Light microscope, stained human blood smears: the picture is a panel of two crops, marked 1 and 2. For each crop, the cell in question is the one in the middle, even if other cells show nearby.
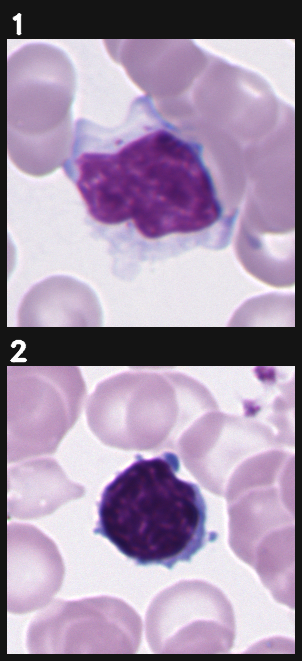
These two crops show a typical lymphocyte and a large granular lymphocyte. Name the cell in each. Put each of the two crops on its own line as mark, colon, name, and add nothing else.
1: large granular lymphocyte
2: typical lymphocyte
